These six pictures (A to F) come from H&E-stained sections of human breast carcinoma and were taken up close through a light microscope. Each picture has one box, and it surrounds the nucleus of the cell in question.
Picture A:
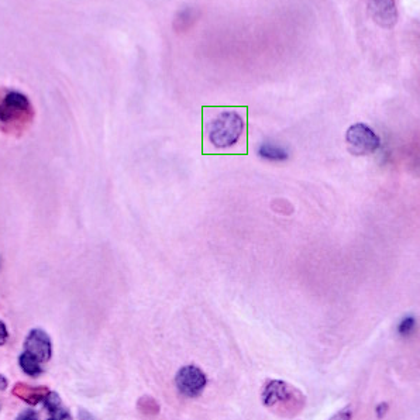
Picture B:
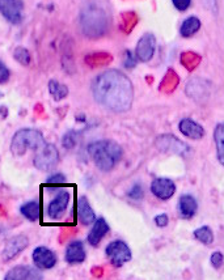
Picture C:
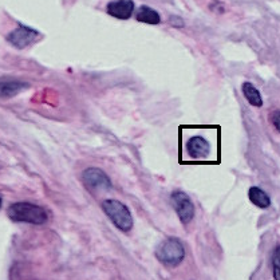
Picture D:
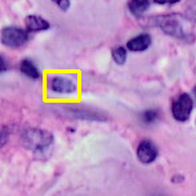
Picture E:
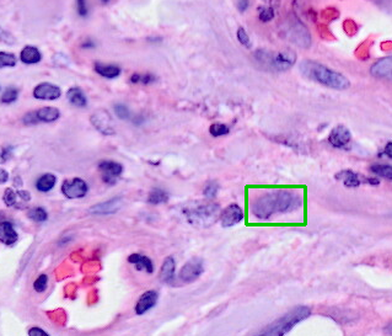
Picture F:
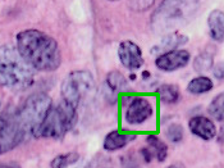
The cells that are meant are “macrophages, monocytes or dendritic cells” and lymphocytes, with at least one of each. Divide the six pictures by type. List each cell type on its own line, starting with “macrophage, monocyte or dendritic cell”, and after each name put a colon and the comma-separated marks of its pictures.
macrophage, monocyte or dendritic cell: A, E
lymphocyte: B, C, D, F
